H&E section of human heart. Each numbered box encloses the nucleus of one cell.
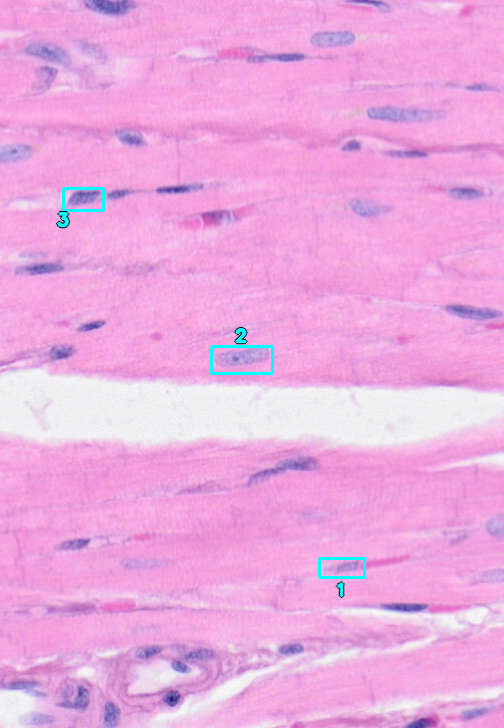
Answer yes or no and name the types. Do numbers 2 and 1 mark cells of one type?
No, the correct reading has cell 2 as a cardiomyocyte and cell 1 as an endothelial cell.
